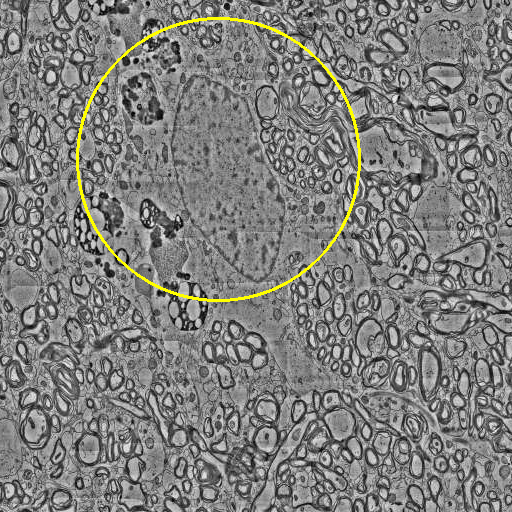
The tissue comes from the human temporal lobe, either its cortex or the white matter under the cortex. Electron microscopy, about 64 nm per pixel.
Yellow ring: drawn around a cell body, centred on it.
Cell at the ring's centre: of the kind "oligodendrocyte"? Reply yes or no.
no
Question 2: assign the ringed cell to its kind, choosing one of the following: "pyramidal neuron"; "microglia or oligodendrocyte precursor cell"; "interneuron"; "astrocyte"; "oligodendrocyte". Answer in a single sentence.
That cell in the ring is an astrocyte instead.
